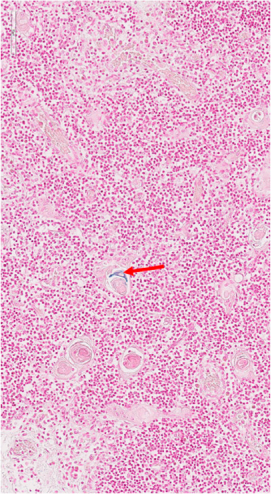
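This is thymus, densely packed with small round dark pink lymphocyte nuclei. Scattered among them are several round, concentrically layered pale pink whorls of flattened cells, the thymic corpuscles. One of these whorls holds a small blue deposit at its edge, while the surrounding lymphoid tissue shows no blue.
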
